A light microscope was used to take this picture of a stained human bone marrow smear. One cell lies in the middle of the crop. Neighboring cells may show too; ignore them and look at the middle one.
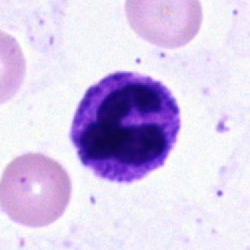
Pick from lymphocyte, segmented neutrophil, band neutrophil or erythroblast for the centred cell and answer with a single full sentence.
The central cell in this smear crop is a segmented neutrophil.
